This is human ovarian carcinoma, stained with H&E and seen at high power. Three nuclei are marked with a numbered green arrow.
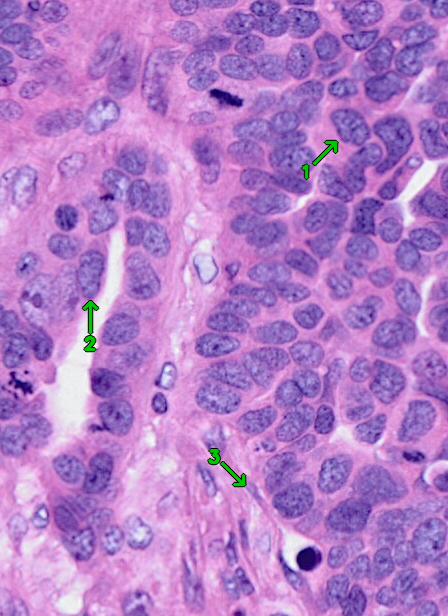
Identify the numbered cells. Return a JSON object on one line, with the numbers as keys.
{"1": "carcinoma cell", "2": "carcinoma cell", "3": "fibroblast"}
